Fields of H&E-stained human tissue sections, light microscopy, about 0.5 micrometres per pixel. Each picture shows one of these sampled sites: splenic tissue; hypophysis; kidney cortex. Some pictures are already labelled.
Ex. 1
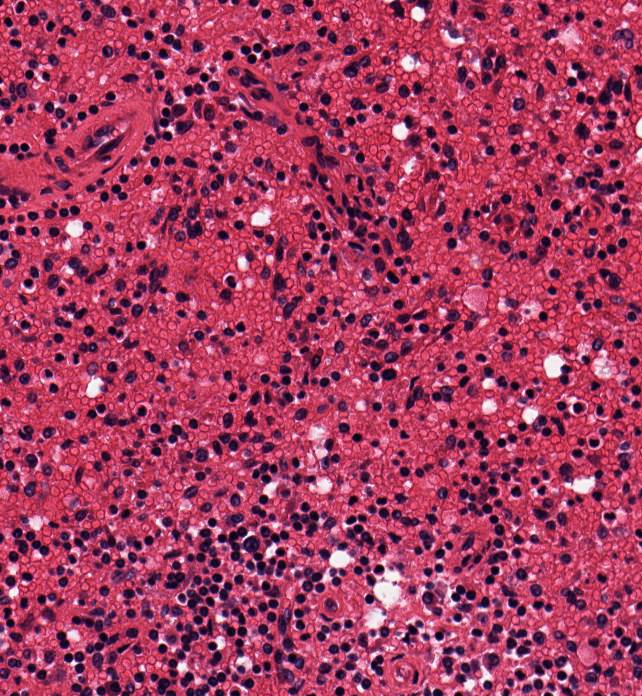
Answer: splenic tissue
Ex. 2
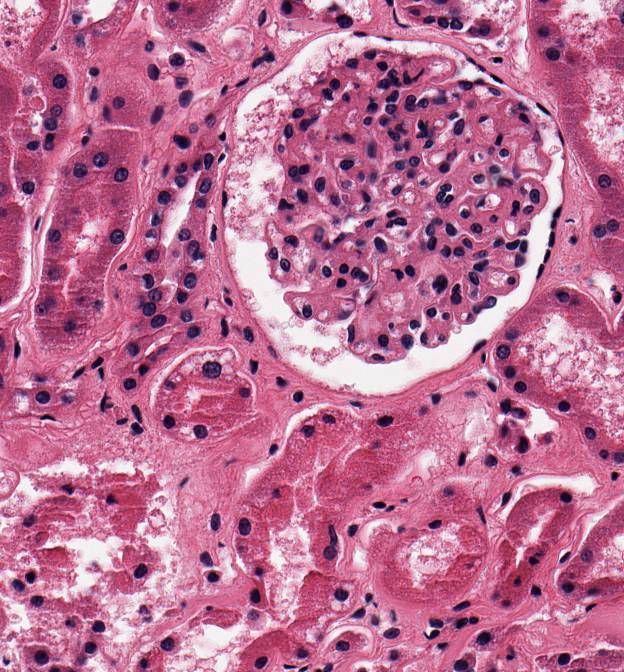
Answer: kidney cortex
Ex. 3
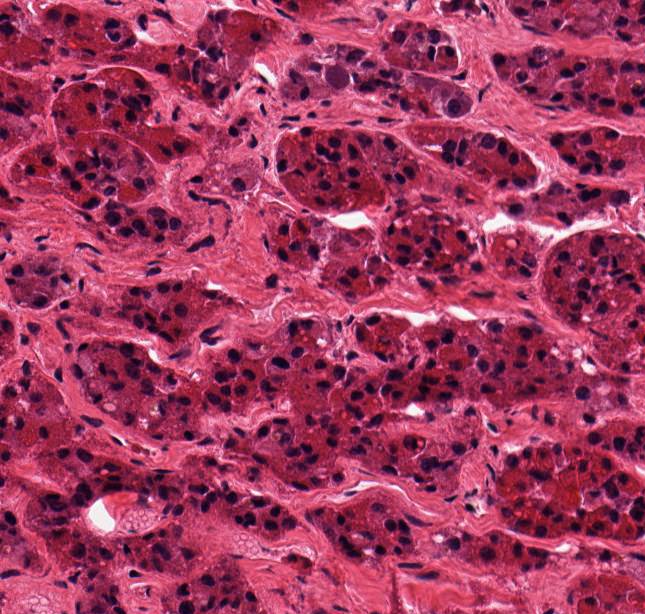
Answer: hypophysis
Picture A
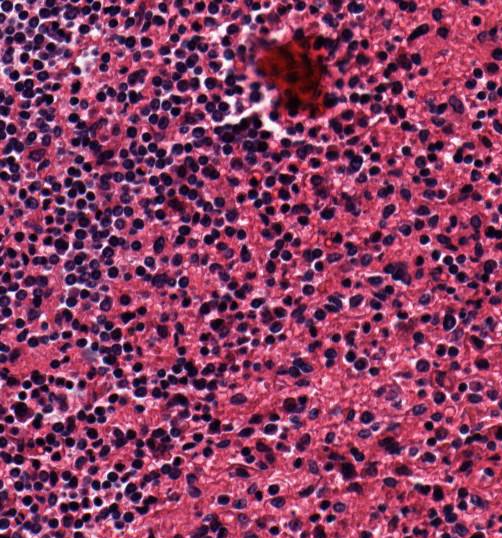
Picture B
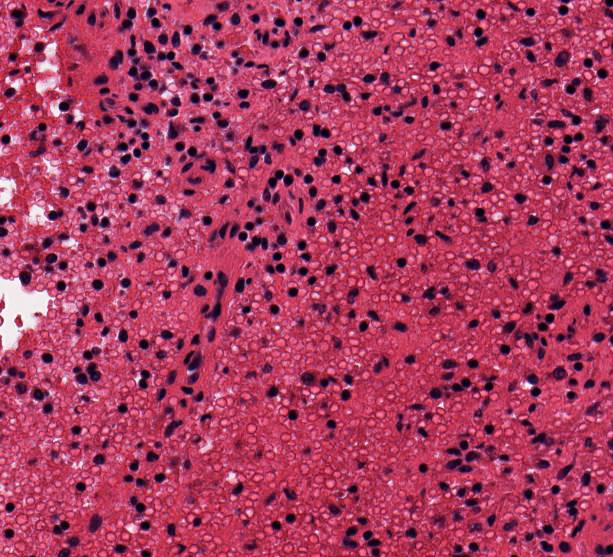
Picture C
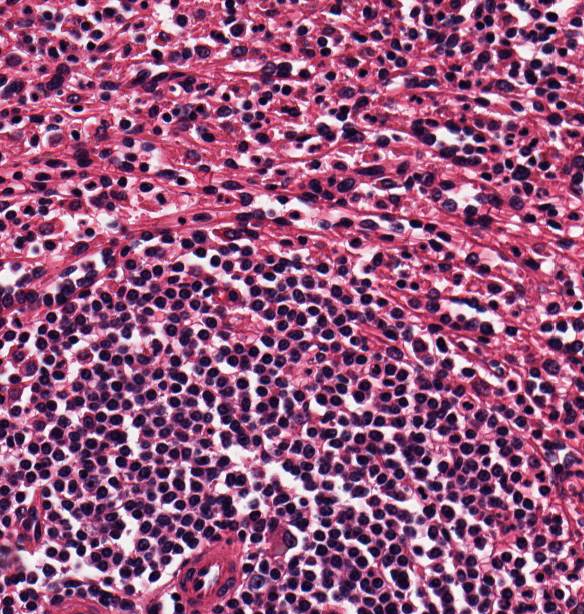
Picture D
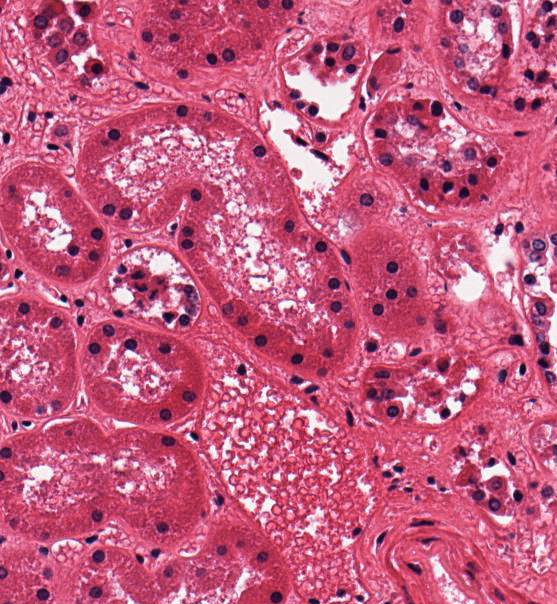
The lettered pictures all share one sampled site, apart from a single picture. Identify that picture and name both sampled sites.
D differs and shows kidney cortex; the others show splenic tissue.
